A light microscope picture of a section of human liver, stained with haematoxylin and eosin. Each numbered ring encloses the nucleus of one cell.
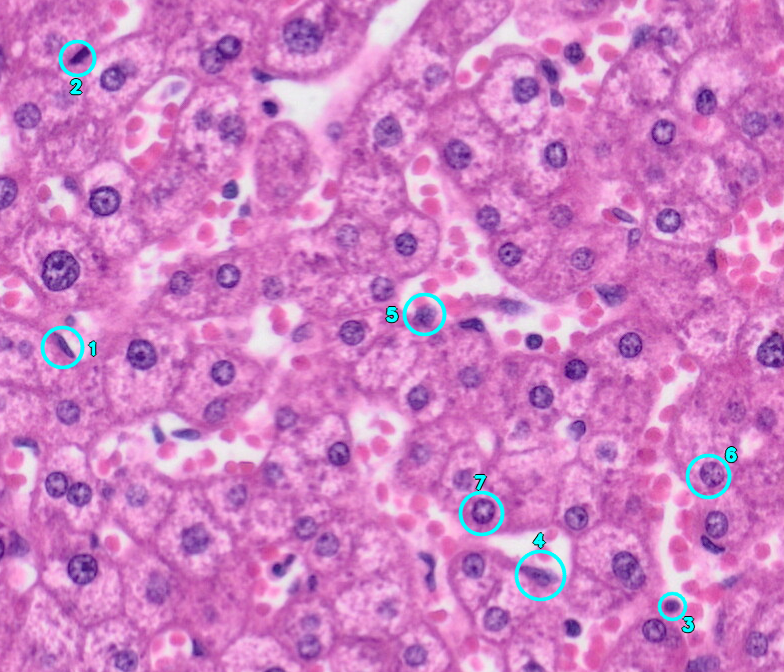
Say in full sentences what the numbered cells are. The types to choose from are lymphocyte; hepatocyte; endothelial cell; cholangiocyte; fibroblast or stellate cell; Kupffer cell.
Cells 1 and 5 are endothelial cells. Cell 2 is a fibroblast or stellate cell. Cell 3 is a lymphocyte. Cell 4 is a Kupffer cell. Cells 6 and 7 are hepatocytes.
